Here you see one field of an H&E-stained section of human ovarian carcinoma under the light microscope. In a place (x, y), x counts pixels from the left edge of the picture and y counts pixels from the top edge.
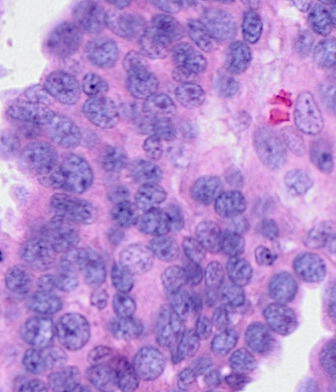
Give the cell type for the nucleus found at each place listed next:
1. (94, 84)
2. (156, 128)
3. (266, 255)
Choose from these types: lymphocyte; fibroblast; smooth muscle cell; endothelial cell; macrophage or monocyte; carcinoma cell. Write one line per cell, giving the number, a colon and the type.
1: macrophage or monocyte
2: carcinoma cell
3: macrophage or monocyte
